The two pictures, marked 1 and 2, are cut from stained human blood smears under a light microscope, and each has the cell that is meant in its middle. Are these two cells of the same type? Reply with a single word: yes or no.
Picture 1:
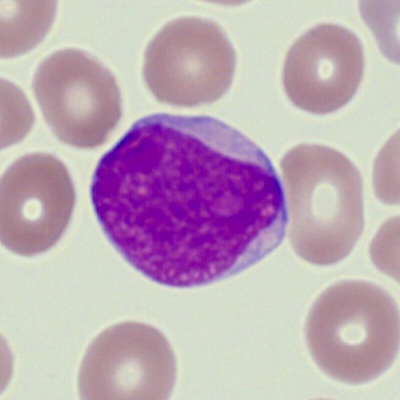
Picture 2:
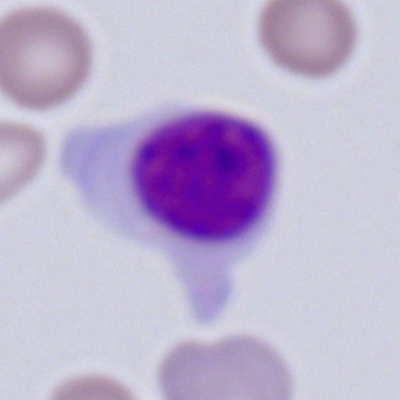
no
